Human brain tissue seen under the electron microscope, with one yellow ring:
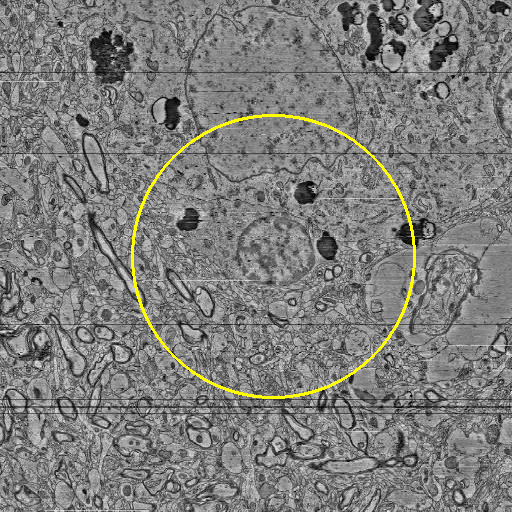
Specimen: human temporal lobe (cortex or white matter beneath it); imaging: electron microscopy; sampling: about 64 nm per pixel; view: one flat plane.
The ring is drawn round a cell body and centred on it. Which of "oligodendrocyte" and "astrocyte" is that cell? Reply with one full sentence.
The picture shows an oligodendrocyte at the very centre of the yellow ring.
